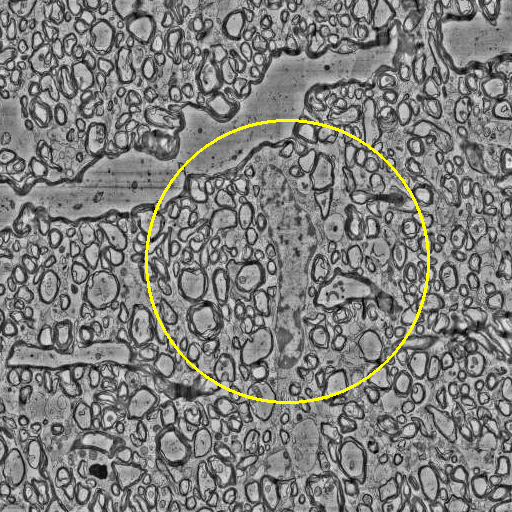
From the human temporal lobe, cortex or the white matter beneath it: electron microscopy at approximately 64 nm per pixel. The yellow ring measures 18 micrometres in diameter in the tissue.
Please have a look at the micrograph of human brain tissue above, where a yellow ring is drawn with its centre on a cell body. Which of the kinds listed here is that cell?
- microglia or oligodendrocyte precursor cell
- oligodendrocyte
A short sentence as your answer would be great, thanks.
At the centre of the ring sits a microglial cell or oligodendrocyte precursor cell.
